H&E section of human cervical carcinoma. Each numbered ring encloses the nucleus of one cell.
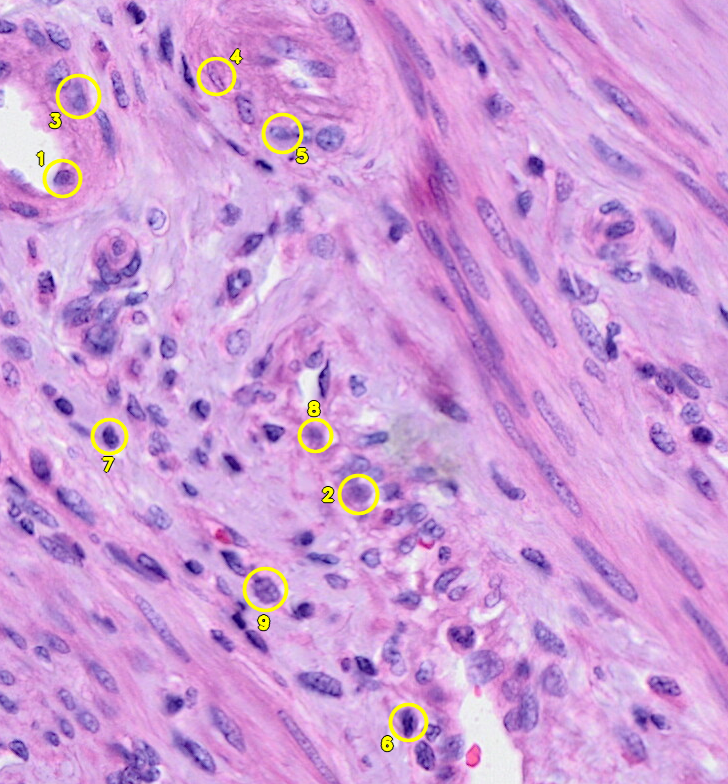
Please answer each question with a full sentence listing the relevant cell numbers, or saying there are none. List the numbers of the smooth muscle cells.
Identification: the cells with numbers 3, 4 and 5 are smooth muscle cells.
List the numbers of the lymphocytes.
By cell type, the cells numbered 6 and 7 are lymphocytes.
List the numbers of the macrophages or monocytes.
Unlike the other numbered cells, cell 9 is a macrophage or monocyte.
